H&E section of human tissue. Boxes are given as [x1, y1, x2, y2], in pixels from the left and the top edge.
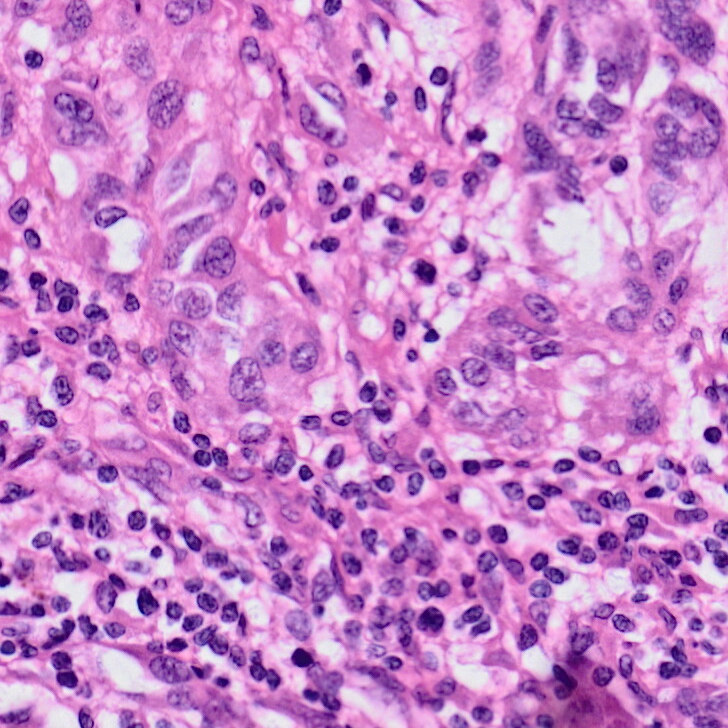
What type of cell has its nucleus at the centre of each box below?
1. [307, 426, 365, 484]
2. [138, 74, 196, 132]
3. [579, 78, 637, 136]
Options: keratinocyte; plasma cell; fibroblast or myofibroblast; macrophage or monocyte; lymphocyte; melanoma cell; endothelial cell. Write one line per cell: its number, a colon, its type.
1: lymphocyte
2: melanoma cell
3: melanoma cell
